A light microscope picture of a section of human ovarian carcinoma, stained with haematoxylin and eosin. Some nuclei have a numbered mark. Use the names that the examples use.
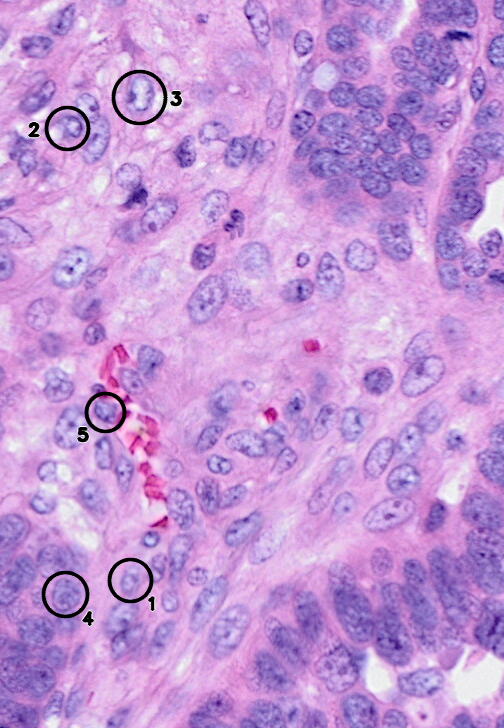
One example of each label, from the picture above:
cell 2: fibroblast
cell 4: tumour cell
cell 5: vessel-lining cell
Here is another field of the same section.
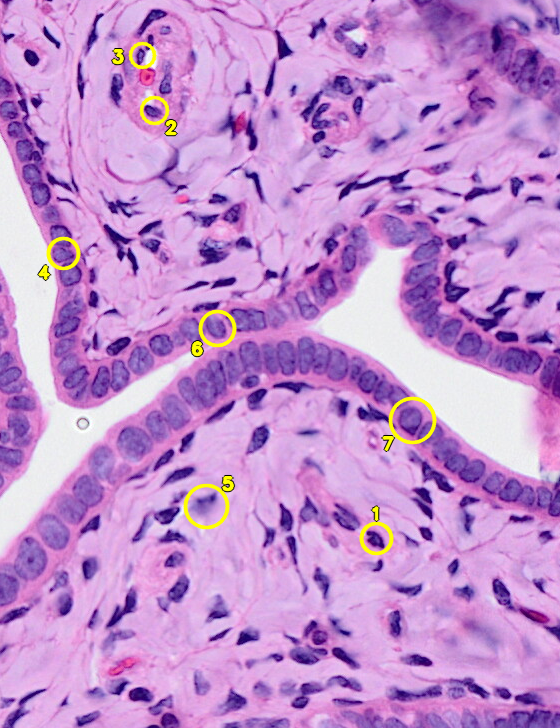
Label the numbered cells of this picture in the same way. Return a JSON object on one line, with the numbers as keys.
{"1": "vessel-lining cell", "2": "vessel-lining cell", "3": "vessel-lining cell", "4": "tumour cell", "5": "fibroblast", "6": "tumour cell", "7": "tumour cell"}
